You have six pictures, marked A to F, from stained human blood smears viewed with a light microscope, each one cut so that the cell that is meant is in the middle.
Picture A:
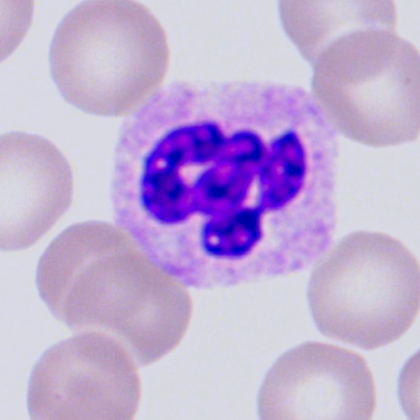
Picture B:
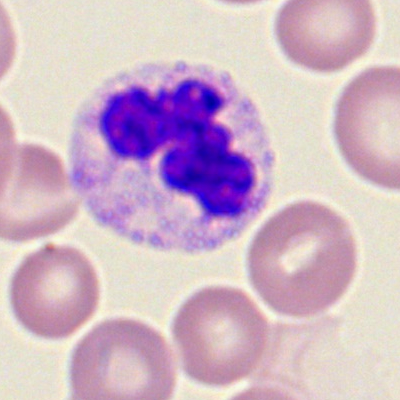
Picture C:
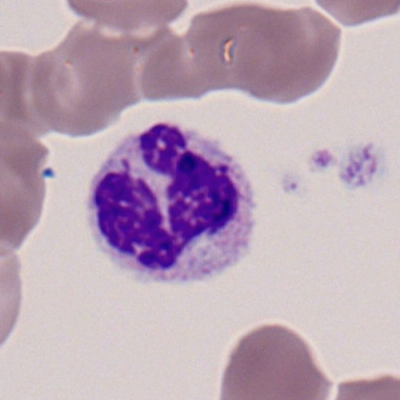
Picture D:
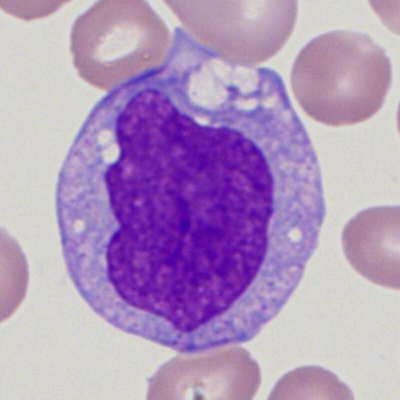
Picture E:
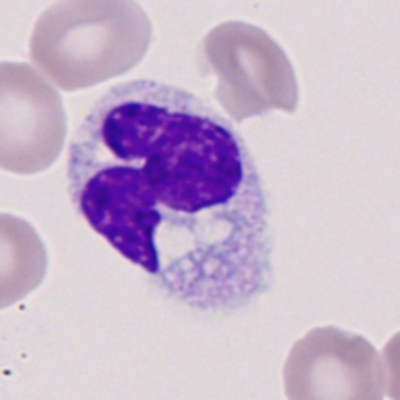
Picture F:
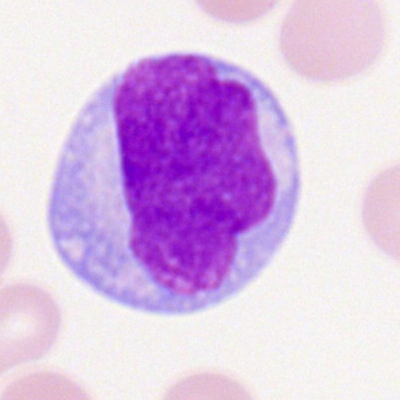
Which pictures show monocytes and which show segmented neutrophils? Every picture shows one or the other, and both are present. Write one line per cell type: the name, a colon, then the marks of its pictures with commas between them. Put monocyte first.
monocyte: D, E, F
segmented neutrophil: A, B, C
